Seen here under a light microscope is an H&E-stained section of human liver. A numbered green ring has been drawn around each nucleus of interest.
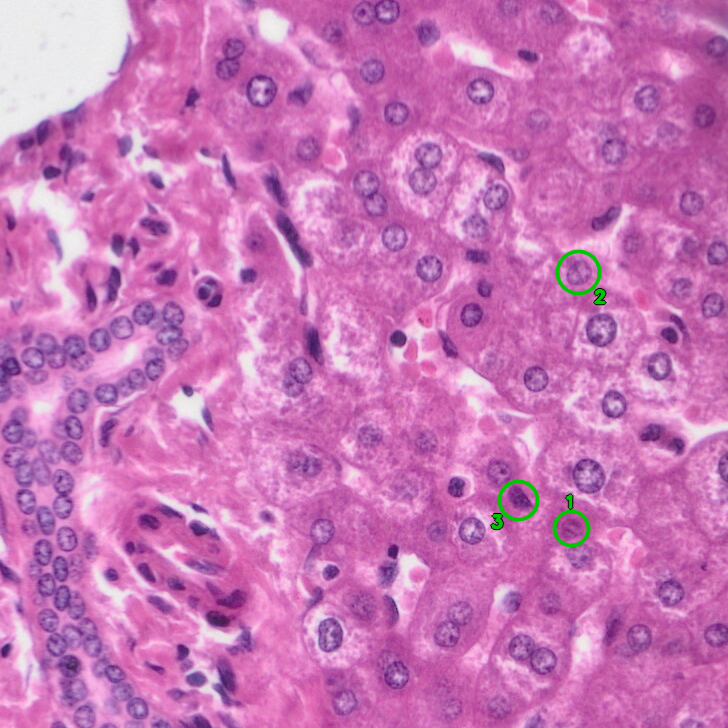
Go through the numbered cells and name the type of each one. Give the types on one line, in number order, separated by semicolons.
hepatocyte; hepatocyte; fibroblast or stellate cell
